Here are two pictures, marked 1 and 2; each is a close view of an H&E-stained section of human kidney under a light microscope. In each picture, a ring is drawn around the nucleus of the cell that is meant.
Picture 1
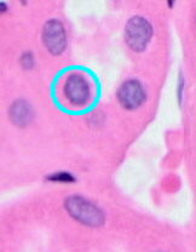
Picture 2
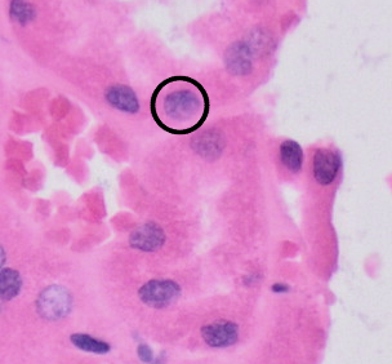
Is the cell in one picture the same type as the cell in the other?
no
